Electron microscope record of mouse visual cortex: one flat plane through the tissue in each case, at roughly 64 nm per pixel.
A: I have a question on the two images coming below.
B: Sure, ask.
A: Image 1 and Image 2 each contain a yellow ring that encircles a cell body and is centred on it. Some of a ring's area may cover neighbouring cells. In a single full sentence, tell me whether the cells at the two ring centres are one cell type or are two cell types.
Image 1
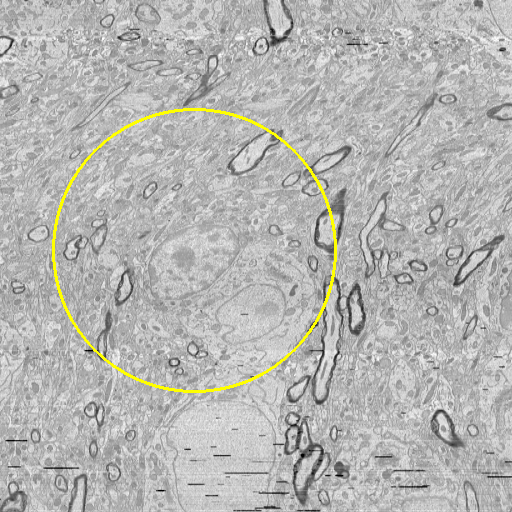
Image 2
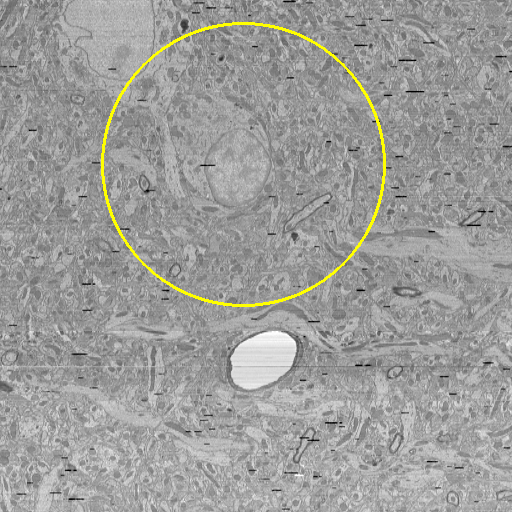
As for the ring-centre cells, the one in Image 1 and the one in Image 2 are one cell type.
